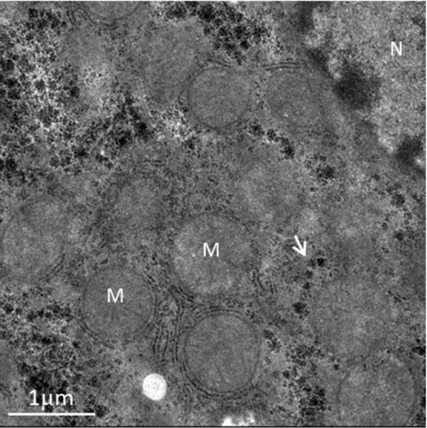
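Hepatocyte cytoplasm next to the nucleus, with round to oval mitochondria of even size and uniform, moderately dense matrix. Parallel stacks of rough endoplasmic reticulum curve around the mitochondria, and clusters of dark granular glycogen fill the spaces between them.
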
